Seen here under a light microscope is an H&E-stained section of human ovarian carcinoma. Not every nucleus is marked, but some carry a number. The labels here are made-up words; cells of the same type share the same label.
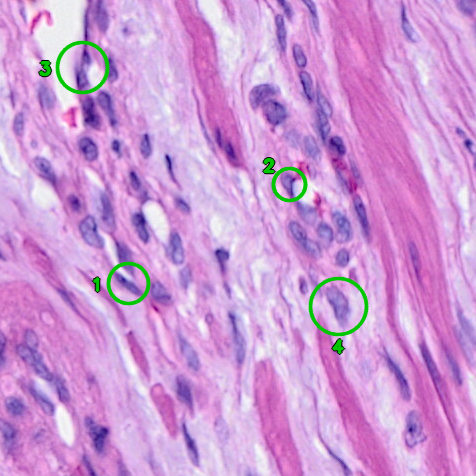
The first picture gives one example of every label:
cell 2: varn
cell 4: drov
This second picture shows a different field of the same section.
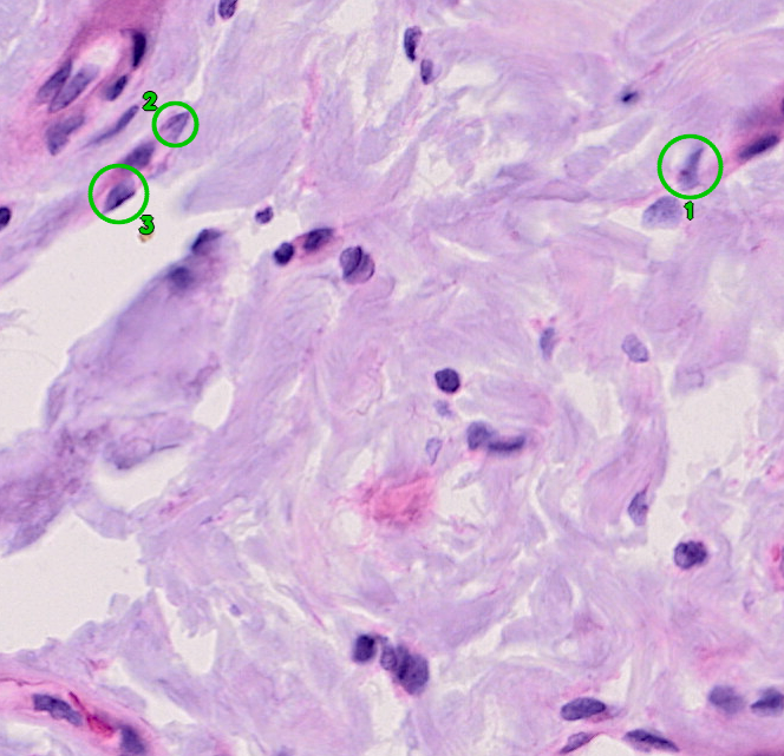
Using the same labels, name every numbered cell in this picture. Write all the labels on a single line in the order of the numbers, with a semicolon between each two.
drov; drov; varn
